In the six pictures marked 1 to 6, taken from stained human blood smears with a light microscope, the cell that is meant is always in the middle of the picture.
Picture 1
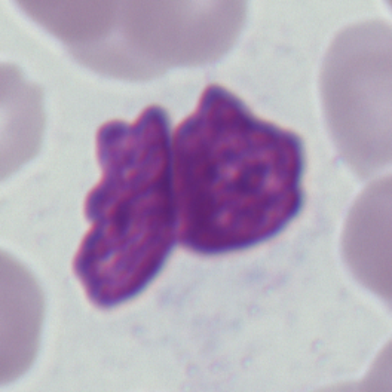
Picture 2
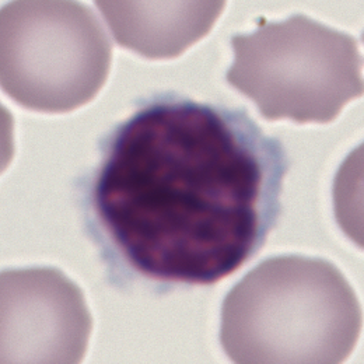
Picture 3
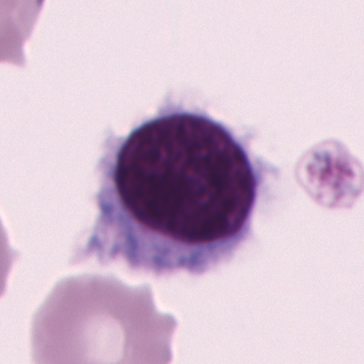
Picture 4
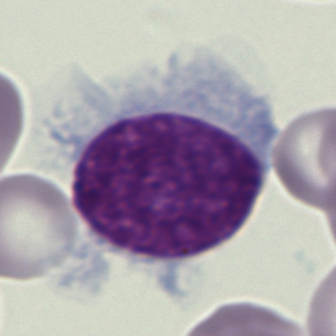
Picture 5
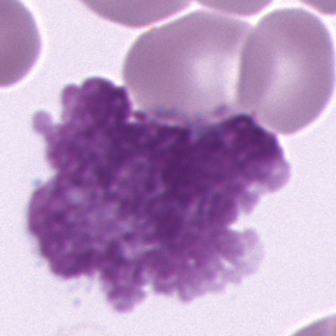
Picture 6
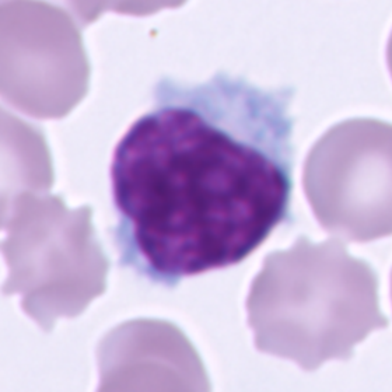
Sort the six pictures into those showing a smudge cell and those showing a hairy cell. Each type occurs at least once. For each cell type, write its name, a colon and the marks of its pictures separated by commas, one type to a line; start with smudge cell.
smudge cell: 1, 5
hairy cell: 2, 3, 4, 6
